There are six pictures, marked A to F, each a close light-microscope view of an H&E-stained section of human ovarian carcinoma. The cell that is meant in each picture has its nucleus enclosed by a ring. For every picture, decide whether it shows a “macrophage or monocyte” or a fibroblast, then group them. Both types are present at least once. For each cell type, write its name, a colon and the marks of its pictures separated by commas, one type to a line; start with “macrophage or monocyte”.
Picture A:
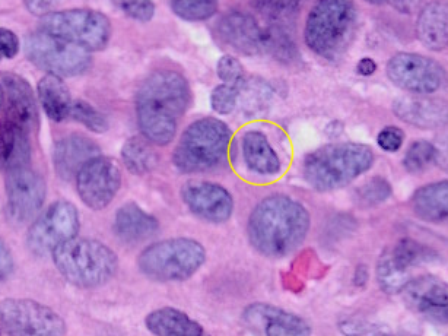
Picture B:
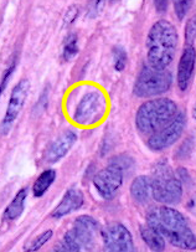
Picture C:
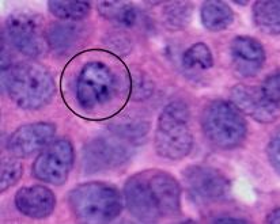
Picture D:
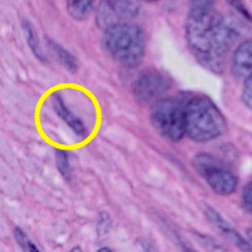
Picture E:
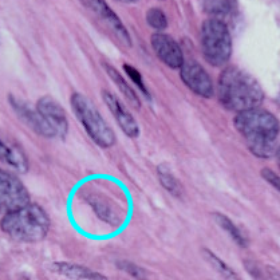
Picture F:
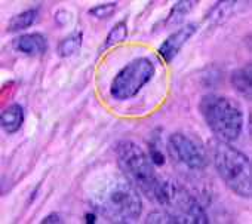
macrophage or monocyte: A, C, F
fibroblast: B, D, E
